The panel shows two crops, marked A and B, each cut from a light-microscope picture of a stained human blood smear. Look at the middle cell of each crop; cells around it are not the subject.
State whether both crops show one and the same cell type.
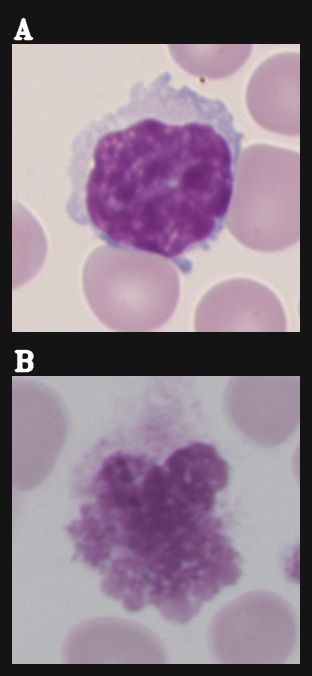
no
